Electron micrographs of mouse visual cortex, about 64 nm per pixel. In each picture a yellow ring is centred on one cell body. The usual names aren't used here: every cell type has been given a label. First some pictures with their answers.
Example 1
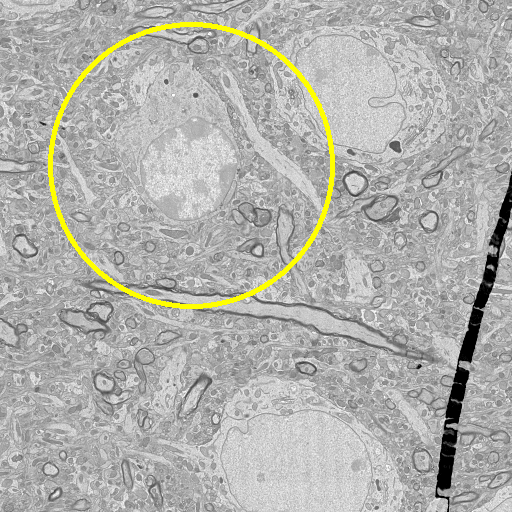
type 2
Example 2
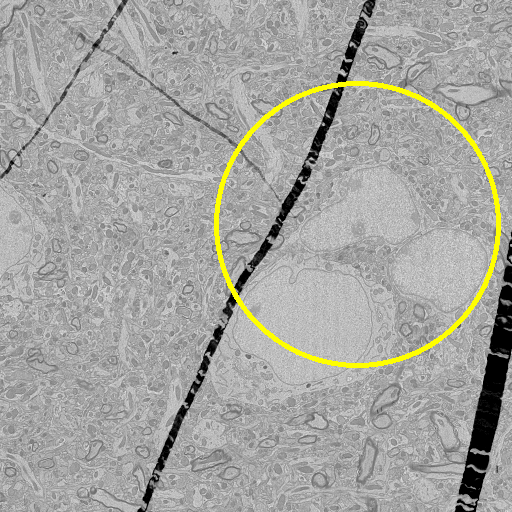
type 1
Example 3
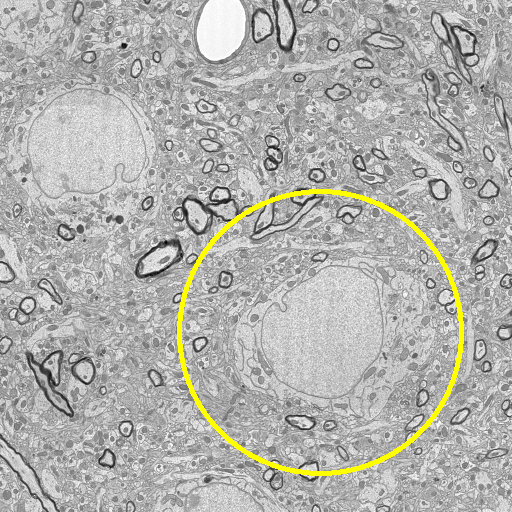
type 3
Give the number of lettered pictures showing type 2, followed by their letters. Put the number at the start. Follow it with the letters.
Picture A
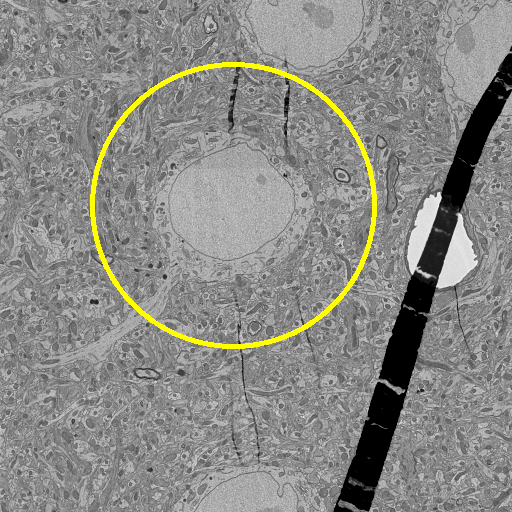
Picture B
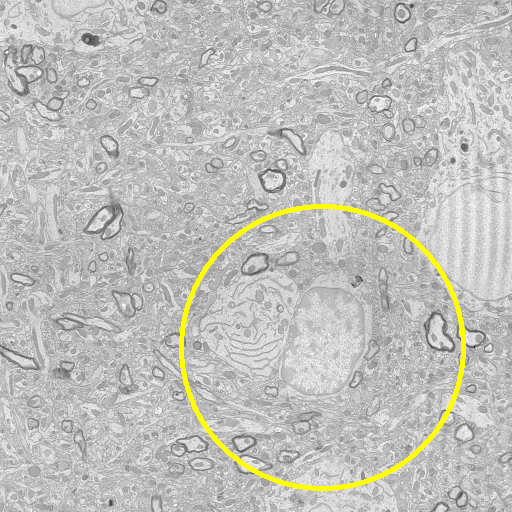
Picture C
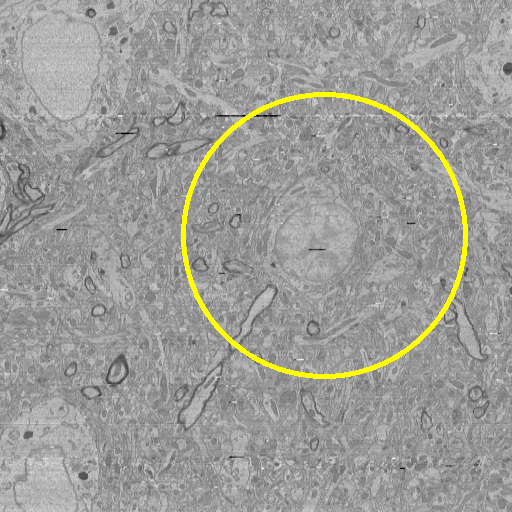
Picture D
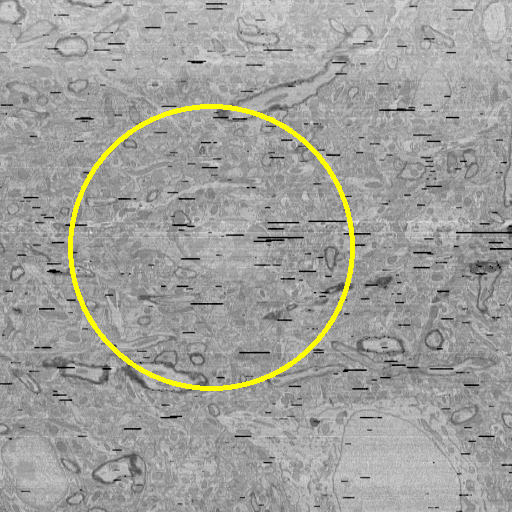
3: B, C, D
